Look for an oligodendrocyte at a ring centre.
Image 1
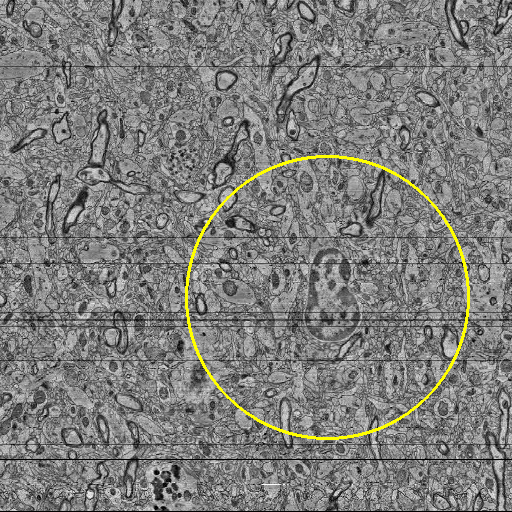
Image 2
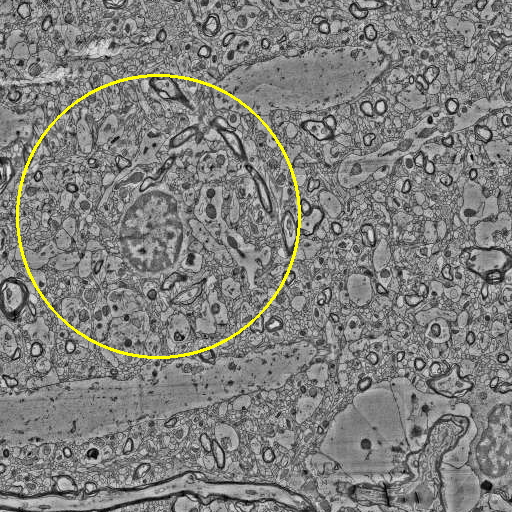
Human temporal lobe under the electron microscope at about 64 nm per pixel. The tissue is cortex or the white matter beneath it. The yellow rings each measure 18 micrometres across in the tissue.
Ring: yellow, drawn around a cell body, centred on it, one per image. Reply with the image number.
2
